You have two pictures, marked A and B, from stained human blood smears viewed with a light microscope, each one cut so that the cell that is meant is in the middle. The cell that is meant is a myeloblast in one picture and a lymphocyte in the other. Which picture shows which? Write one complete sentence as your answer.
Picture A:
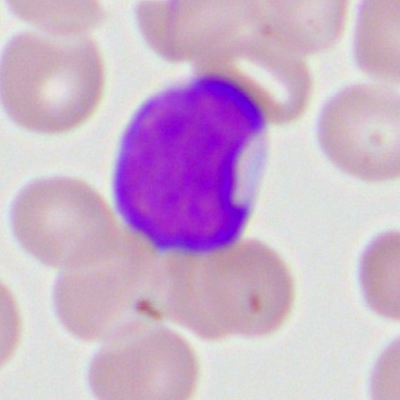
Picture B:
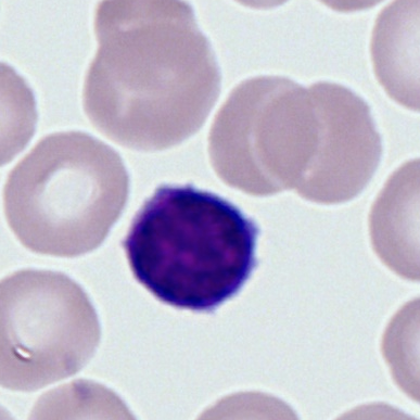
Picture A shows a myeloblast and picture B shows a lymphocyte.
